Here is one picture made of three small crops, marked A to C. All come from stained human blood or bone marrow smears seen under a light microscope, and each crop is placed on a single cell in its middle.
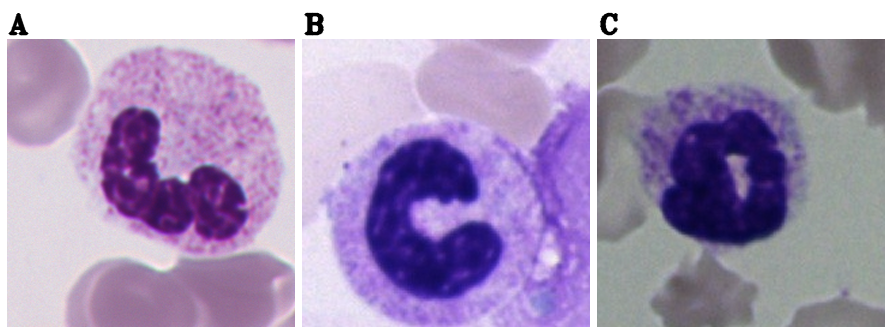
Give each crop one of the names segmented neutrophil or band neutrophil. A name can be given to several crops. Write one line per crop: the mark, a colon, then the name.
A: segmented neutrophil
B: band neutrophil
C: segmented neutrophil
